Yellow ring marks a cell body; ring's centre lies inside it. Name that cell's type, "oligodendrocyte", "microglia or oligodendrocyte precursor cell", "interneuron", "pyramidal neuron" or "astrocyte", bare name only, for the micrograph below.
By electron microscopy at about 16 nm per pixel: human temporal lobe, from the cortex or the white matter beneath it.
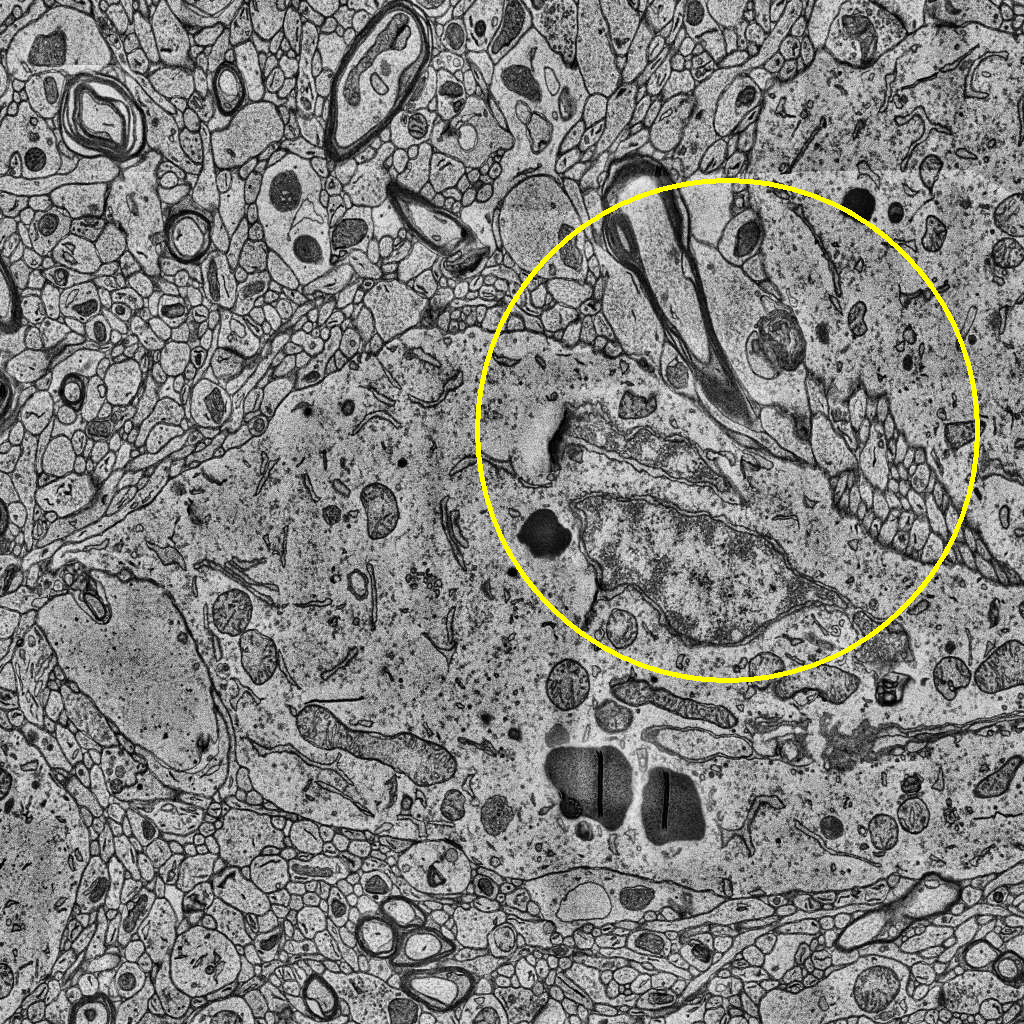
interneuron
